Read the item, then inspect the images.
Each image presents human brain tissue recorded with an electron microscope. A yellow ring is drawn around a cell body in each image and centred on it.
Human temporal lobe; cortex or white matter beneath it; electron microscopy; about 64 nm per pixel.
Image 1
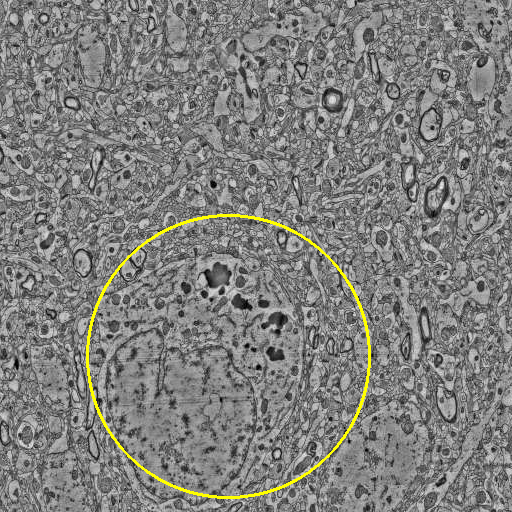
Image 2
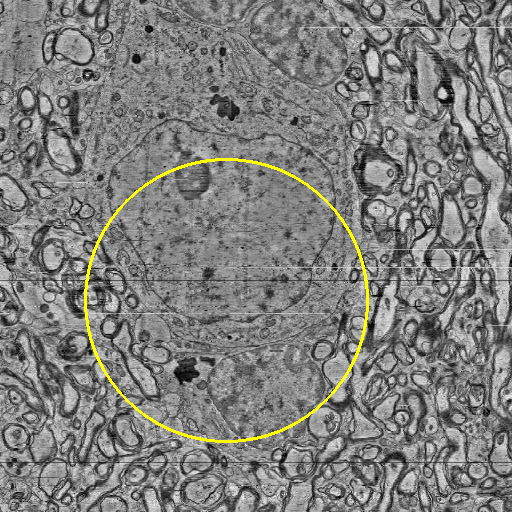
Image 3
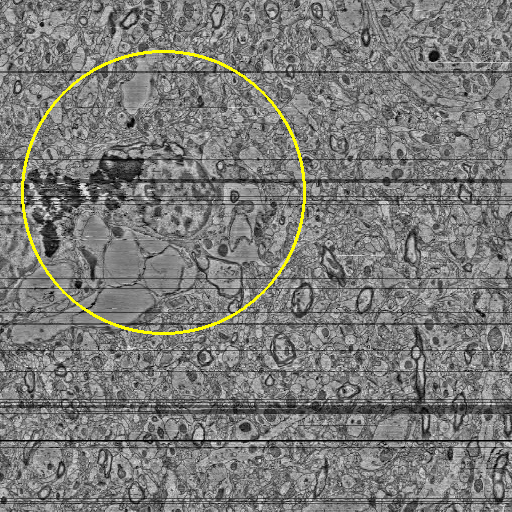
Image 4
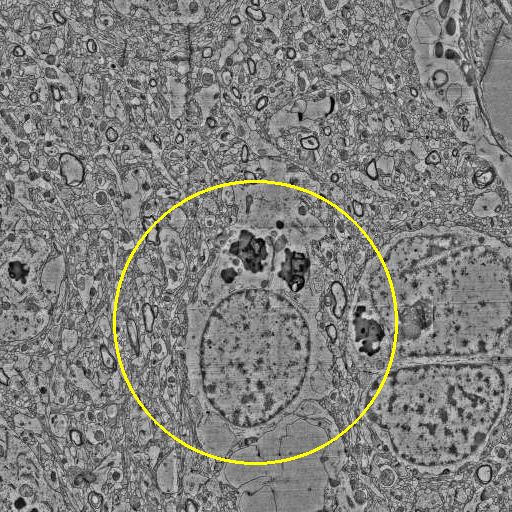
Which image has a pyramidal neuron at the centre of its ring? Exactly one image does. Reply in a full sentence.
The ring in Image 2 is centred on it.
